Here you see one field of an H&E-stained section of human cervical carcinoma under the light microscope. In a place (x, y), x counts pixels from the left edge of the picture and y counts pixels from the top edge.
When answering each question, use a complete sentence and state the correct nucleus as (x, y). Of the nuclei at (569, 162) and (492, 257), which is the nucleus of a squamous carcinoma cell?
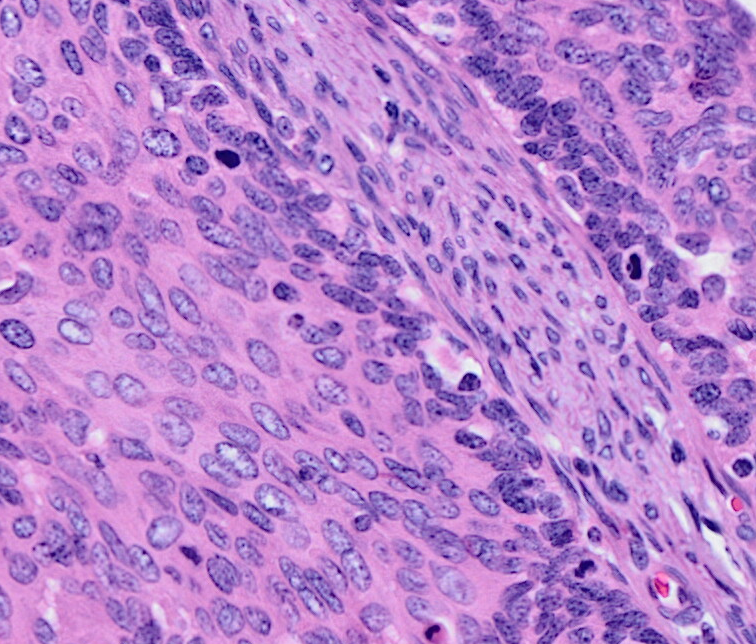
The nucleus at (569, 162) is housed in a squamous carcinoma cell.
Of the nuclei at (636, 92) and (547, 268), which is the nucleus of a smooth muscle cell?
The nucleus at (547, 268), rather than the other, belongs to a smooth muscle cell.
